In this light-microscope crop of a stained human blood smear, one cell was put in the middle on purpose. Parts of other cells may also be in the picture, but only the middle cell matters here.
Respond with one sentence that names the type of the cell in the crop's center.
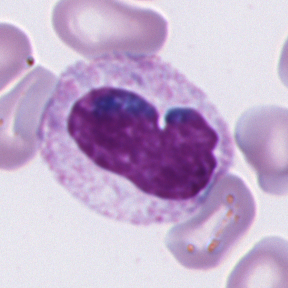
The central element of this crop is a cell, namely a band neutrophil.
